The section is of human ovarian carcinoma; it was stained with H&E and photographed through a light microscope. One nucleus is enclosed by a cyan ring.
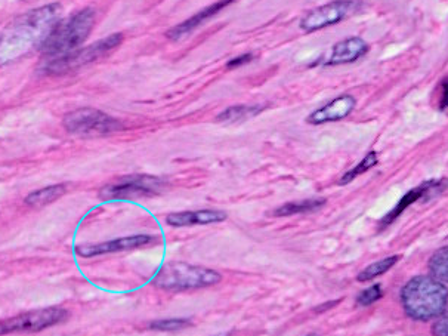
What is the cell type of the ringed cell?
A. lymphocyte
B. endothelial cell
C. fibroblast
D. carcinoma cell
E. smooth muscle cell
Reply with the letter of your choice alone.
C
